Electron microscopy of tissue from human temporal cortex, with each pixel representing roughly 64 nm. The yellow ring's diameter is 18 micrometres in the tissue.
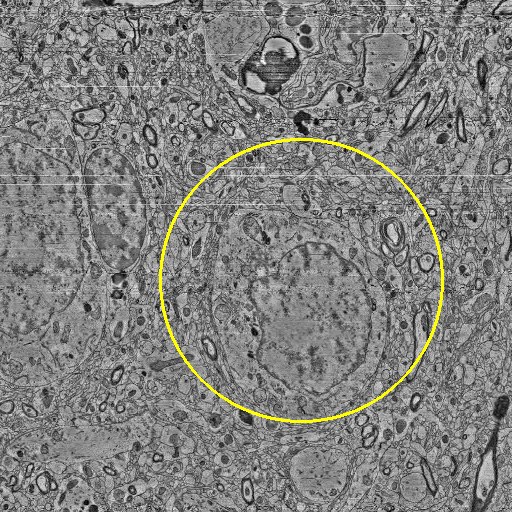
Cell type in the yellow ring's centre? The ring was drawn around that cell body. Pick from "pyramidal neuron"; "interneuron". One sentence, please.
The ringed cell body is that of a pyramidal neuron.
